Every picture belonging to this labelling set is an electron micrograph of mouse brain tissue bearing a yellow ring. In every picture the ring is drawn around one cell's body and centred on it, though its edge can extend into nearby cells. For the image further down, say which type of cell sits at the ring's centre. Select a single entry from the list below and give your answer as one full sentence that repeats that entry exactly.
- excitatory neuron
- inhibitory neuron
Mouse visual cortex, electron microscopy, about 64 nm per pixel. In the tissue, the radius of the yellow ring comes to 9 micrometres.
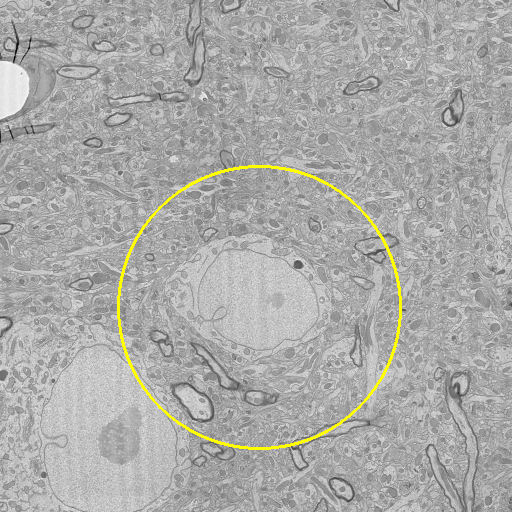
In the picture, an excitatory neuron is the cell at the centre of the yellow ring.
